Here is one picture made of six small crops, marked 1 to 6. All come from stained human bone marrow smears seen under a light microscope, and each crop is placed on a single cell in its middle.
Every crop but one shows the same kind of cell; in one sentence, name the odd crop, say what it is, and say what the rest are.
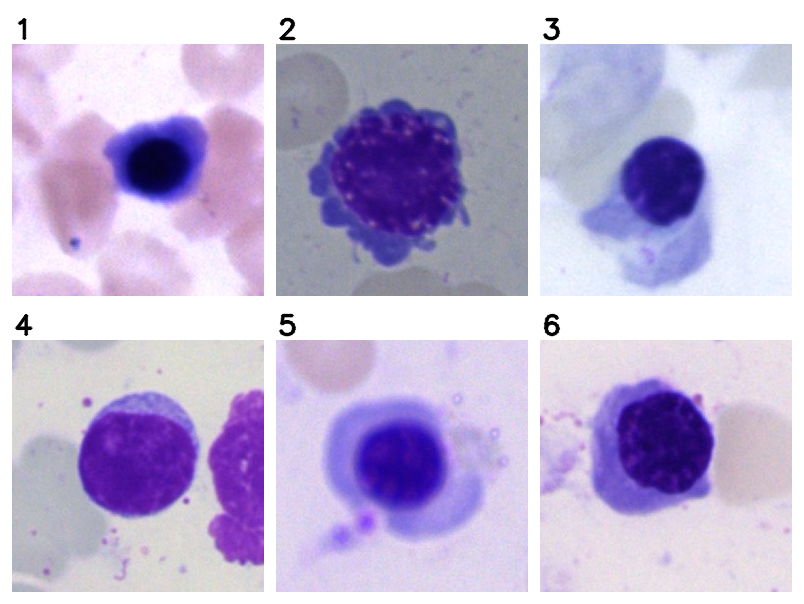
The odd one out is crop 4, a lymphocyte, and all other crops show erythroblasts.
